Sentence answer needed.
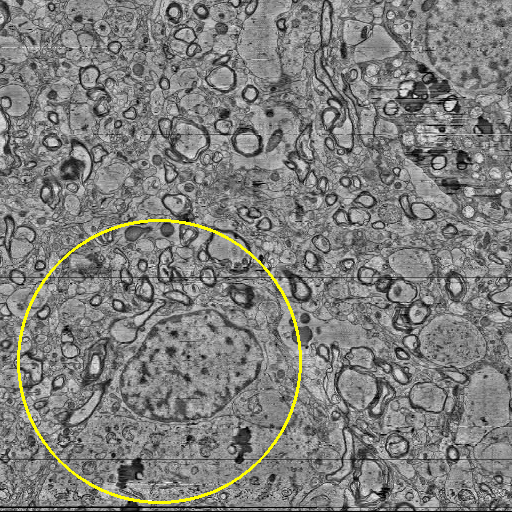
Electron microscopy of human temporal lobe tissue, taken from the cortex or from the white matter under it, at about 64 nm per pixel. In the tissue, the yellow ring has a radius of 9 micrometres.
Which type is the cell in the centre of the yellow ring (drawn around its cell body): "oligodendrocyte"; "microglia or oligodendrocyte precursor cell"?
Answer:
In the centre of the yellow ring is a microglial cell or oligodendrocyte precursor cell.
